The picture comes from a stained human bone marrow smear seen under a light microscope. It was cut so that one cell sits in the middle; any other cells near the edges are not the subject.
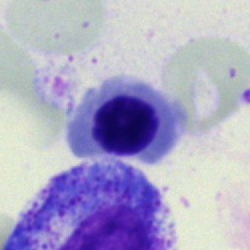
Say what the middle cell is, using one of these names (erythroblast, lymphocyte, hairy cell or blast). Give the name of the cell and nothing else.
erythroblast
